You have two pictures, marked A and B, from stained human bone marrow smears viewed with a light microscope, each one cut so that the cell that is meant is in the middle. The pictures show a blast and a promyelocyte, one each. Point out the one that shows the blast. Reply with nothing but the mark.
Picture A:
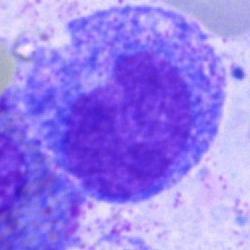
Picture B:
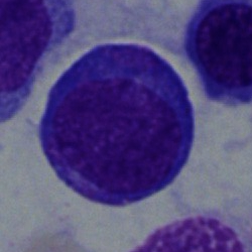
B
